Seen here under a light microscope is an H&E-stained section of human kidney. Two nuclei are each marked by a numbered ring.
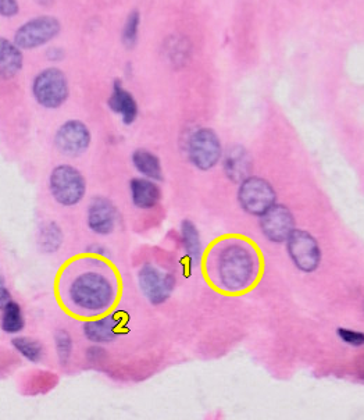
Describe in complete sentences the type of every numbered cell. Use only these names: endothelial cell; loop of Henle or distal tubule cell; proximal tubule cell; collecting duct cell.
Cell 1 is a proximal tubule cell and cell 2 is a collecting duct cell.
